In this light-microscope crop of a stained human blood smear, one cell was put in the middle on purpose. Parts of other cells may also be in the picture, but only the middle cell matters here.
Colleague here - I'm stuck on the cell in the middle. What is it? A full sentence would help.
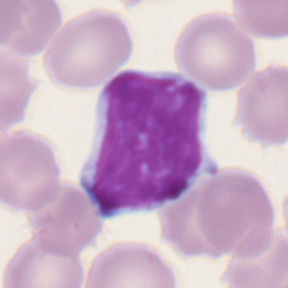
The central element of this crop is a cell, namely a lymphocyte.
